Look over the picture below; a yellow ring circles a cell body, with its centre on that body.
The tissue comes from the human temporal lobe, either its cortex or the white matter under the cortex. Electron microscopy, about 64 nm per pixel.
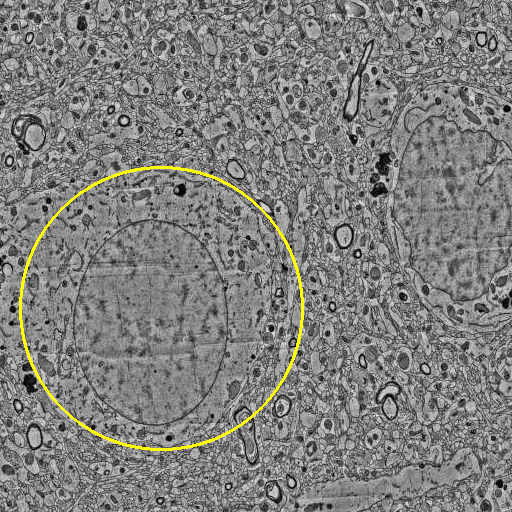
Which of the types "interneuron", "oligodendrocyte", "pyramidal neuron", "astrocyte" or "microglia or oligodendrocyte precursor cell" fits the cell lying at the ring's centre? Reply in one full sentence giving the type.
The picture shows a pyramidal neuron at the centre of the yellow ring.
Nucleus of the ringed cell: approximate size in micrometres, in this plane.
Roughly 13 micrometres by 10 micrometres, in this plane.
